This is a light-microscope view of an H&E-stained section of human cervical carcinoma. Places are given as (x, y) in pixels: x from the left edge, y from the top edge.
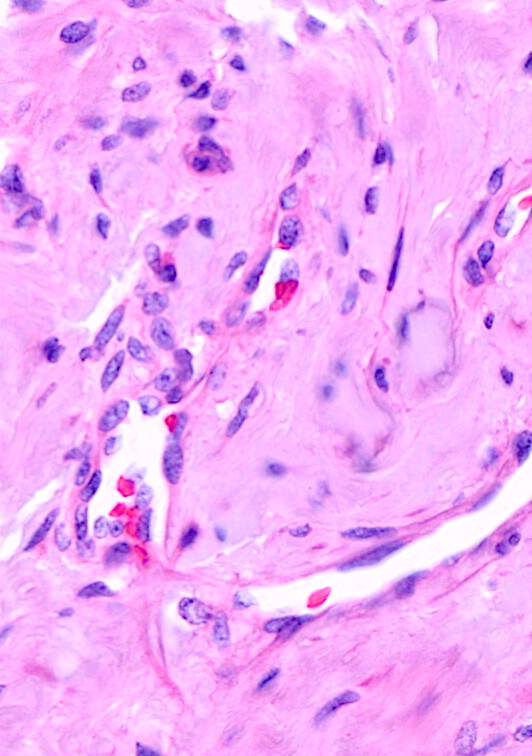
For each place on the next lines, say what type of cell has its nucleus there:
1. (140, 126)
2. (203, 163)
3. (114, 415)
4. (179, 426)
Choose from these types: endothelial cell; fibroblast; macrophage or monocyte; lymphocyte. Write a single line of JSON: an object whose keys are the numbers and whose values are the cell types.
{"1": "fibroblast", "2": "endothelial cell", "3": "endothelial cell", "4": "endothelial cell"}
